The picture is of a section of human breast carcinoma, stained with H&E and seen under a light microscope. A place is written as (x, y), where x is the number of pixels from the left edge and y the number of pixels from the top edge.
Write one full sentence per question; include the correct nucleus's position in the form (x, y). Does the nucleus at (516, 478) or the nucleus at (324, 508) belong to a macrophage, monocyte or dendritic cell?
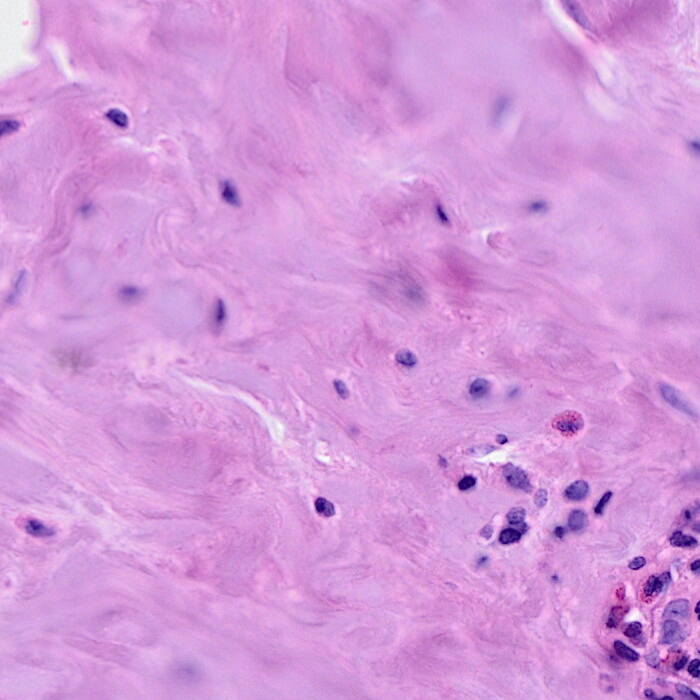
The nucleus at (516, 478) is contained in a macrophage, monocyte or dendritic cell.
